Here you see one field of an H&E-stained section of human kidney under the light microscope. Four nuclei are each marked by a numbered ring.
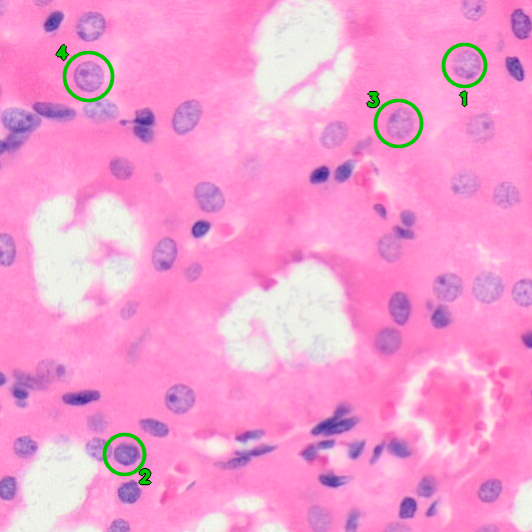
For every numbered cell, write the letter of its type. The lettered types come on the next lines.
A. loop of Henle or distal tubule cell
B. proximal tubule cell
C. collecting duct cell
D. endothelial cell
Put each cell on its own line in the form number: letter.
1: B
2: A
3: B
4: B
